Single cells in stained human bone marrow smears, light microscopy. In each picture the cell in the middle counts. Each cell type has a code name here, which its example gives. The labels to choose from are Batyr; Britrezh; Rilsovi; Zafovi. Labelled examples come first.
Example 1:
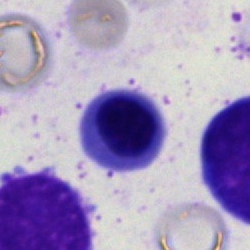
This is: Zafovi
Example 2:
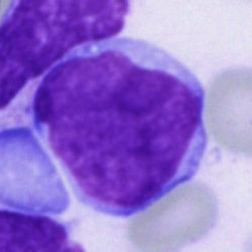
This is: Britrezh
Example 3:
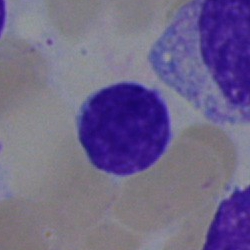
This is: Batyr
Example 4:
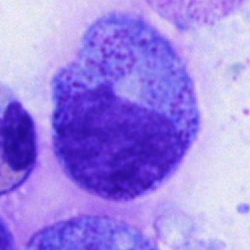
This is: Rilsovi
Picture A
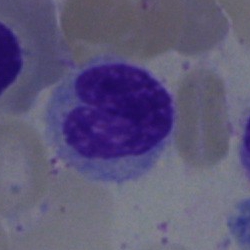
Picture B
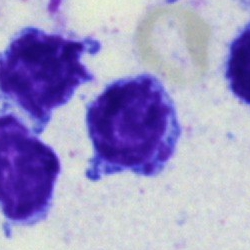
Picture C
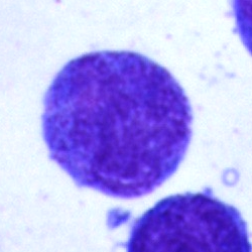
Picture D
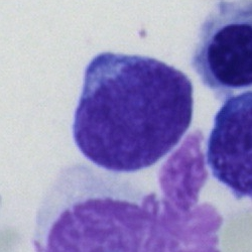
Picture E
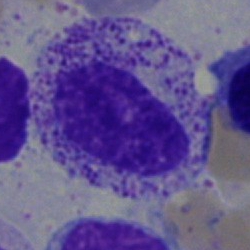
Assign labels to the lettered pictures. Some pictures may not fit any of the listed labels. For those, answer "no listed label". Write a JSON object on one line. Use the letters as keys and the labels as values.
{"A": "Batyr", "B": "Batyr", "C": "Britrezh", "D": "Britrezh", "E": "no listed label"}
